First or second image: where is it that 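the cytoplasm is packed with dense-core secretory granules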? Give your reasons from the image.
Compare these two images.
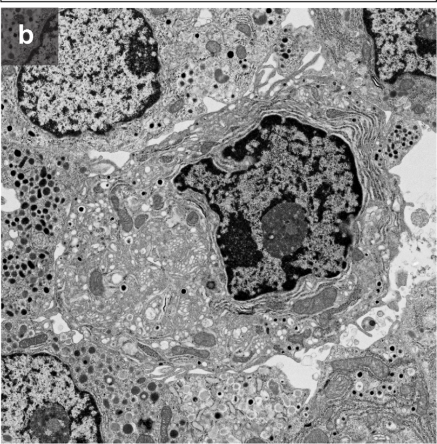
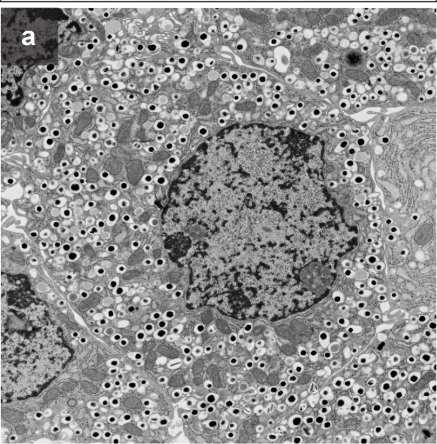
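The second image. First image: the central cell's cytoplasm holds only a few scattered dense-core granules among membranes and vacuoles. Second image: hundreds of dark-cored granules with pale halos fill the cytoplasm around the nucleus.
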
